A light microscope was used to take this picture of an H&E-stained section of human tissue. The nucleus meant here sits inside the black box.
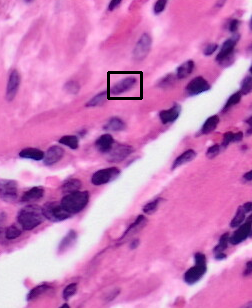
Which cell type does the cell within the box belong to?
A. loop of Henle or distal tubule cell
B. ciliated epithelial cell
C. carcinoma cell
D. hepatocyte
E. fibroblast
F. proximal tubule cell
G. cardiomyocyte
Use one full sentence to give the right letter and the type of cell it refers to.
In short, option E: the cell within the box is a fibroblast.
